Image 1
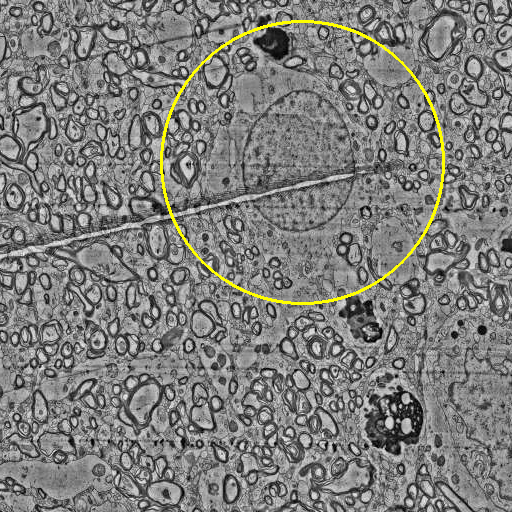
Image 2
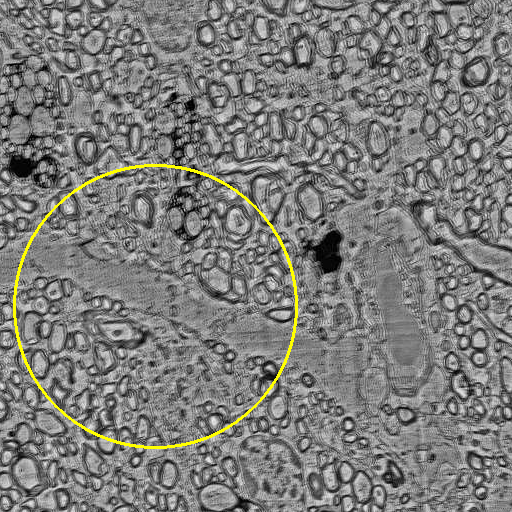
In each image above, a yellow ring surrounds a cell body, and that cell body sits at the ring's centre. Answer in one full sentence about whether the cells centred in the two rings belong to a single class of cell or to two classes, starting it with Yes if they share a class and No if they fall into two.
Yes, the cells centred in the two yellow rings belong to a single class of cell.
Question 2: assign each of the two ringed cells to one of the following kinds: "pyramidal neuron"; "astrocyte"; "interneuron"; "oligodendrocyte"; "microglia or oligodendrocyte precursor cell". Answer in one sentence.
In each of the two pictures, the ringed cell is an astrocyte.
